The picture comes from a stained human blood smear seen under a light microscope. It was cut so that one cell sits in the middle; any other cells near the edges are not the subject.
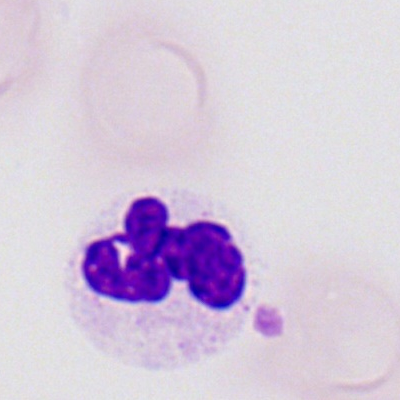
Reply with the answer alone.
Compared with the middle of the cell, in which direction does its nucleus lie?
top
